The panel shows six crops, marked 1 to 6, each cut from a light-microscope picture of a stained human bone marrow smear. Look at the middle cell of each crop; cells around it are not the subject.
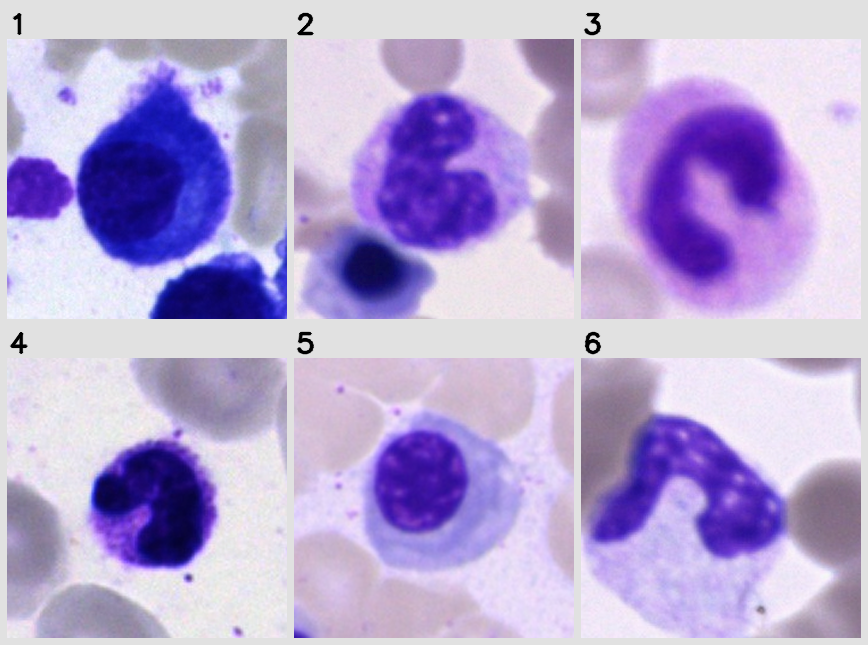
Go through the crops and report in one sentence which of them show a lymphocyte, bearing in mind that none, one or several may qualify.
No crop in this set shows a lymphocyte.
